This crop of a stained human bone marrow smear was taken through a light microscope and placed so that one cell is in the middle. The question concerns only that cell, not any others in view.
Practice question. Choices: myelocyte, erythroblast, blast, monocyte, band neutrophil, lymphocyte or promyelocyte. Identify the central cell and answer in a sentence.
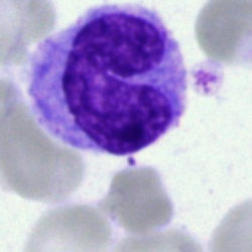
The crop's centre is taken up by a monocyte.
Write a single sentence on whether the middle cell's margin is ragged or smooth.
No projections interrupt the outline; it is smooth all the way round.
